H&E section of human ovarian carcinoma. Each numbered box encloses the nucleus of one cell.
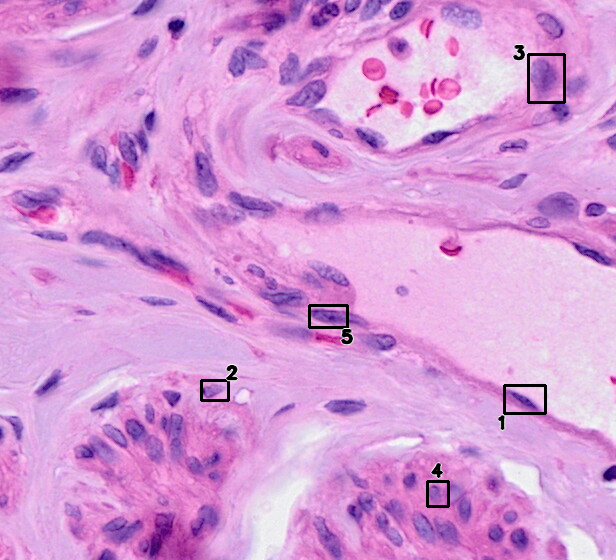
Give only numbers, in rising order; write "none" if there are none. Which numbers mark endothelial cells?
1, 3, 5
